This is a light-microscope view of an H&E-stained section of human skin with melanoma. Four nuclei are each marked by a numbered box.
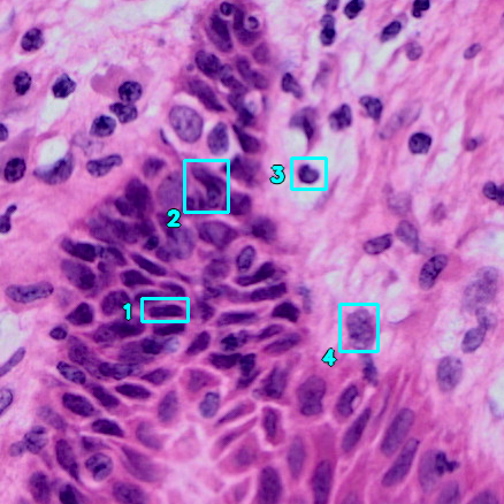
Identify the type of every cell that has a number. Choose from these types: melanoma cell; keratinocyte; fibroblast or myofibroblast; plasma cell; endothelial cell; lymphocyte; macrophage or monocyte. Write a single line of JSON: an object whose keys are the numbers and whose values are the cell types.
{"1": "keratinocyte", "2": "keratinocyte", "3": "lymphocyte", "4": "fibroblast or myofibroblast"}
